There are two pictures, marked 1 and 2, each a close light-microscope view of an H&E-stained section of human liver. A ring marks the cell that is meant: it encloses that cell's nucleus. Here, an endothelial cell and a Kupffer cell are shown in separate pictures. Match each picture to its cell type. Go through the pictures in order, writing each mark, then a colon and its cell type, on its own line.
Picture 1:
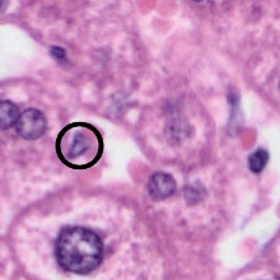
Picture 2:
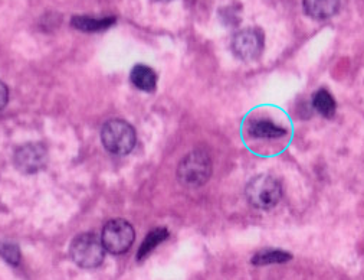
1: Kupffer cell
2: endothelial cell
